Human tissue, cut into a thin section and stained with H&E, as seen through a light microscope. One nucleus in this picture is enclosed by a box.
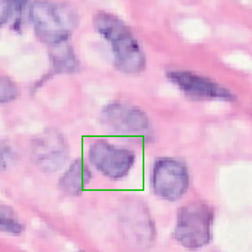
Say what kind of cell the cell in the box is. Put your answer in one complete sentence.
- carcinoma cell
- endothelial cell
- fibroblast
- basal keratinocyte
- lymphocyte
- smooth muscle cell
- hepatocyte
The cell meant here is a carcinoma cell.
